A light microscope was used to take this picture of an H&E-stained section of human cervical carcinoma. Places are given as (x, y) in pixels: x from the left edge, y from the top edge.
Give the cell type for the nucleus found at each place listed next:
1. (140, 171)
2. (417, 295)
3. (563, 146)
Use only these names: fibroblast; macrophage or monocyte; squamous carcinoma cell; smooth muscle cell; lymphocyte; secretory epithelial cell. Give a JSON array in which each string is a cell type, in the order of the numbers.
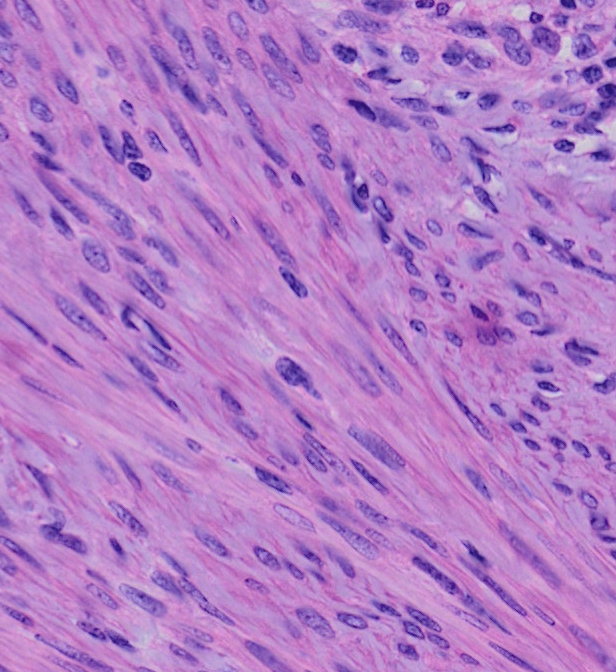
["lymphocyte", "smooth muscle cell", "lymphocyte"]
